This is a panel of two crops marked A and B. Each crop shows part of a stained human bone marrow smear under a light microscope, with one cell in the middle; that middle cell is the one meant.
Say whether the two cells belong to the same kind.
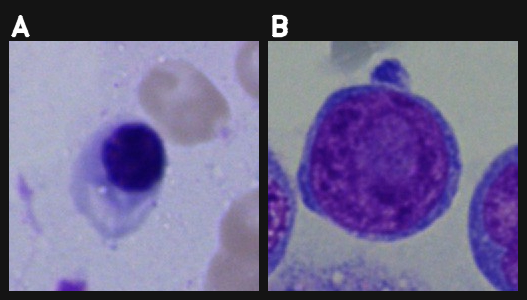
no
